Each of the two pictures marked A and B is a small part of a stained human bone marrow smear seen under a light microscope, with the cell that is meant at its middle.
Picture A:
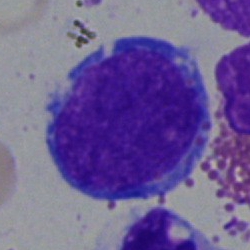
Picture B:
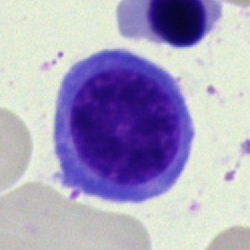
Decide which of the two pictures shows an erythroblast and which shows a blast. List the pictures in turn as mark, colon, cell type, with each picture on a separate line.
A: blast
B: erythroblast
